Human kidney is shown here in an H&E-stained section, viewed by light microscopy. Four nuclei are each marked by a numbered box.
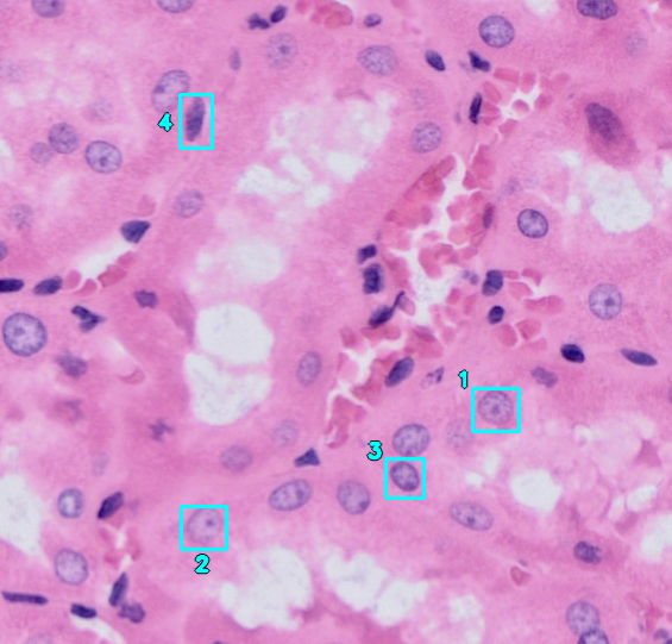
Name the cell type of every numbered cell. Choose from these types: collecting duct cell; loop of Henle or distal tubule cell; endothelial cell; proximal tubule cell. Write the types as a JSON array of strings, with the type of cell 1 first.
["proximal tubule cell", "proximal tubule cell", "proximal tubule cell", "endothelial cell"]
